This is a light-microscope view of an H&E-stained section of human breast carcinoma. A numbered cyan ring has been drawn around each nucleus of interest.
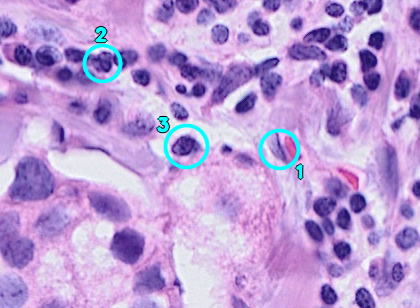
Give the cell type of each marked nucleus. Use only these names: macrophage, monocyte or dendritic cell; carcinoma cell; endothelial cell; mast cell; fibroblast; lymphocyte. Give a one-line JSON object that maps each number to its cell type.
{"1": "endothelial cell", "2": "lymphocyte", "3": "lymphocyte"}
